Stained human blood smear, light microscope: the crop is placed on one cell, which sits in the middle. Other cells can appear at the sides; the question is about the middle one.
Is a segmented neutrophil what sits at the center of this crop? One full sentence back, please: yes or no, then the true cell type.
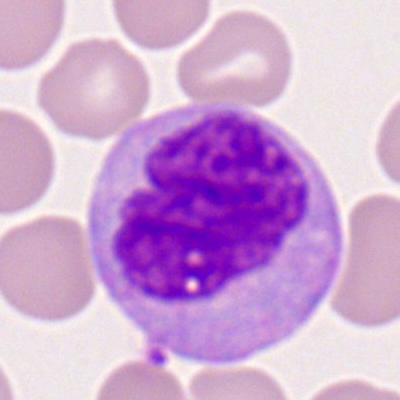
No, the cell occupying the centre is a monocyte, not a segmented neutrophil.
